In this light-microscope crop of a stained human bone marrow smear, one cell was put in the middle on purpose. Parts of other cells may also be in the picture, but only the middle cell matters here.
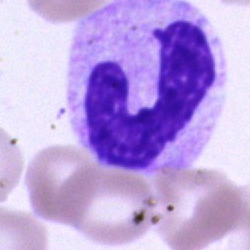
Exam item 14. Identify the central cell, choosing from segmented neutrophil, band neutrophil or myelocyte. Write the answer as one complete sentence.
The cell under consideration, at the middle of the crop, is a band neutrophil.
